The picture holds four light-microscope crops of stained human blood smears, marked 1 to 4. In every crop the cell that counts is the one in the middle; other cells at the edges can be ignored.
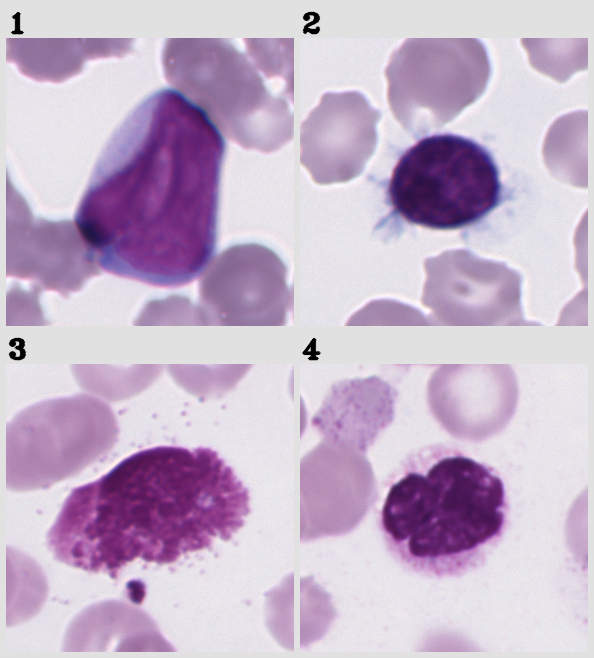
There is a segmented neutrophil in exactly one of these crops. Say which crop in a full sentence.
The crop in which a segmented neutrophil is shown is crop 4.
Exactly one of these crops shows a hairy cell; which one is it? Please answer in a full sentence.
Crop 2 is the one that shows a hairy cell.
